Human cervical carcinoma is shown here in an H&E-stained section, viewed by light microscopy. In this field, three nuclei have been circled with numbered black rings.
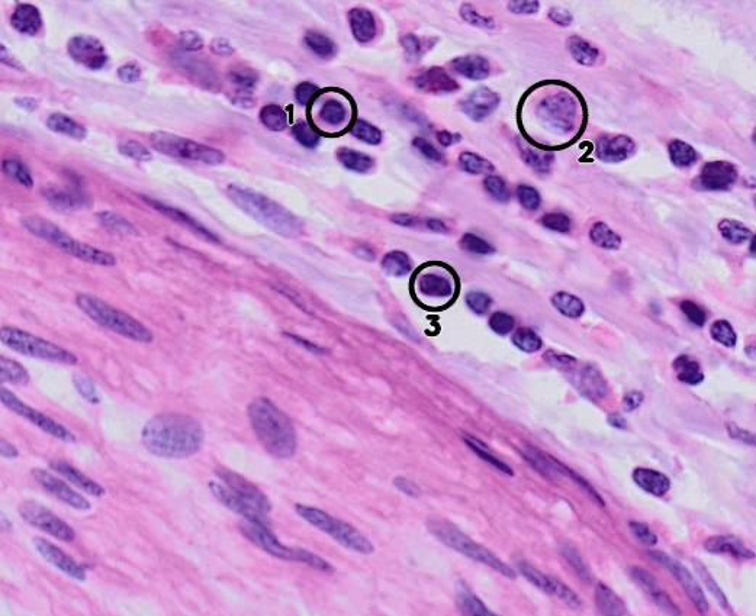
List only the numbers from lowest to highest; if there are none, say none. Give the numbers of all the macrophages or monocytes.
2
